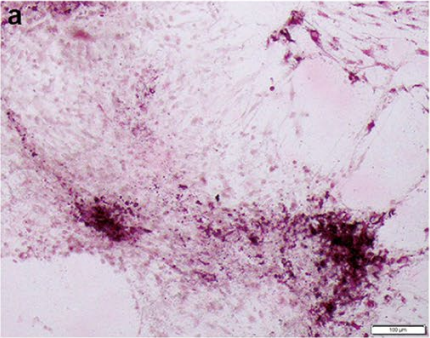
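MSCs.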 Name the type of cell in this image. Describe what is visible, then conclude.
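A sheet of spindle-shaped cells on a pale background. Dense dark purple-red stained deposits form nodules within the cell layer. On this evidence: osteoblasts.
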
